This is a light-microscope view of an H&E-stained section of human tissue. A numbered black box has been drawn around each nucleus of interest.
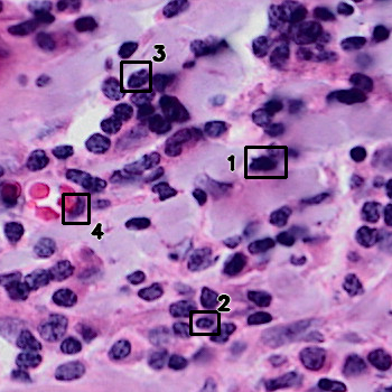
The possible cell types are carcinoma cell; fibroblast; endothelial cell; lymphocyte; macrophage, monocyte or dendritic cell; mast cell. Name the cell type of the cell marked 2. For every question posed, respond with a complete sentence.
The cell marked with the number 2 is a lymphocyte.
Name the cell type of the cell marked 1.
Cell 1 in the field of view is a lymphocyte.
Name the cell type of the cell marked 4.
Here, the cell given the number 4 is an endothelial cell.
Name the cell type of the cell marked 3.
The cell that is numbered 3 is a lymphocyte.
